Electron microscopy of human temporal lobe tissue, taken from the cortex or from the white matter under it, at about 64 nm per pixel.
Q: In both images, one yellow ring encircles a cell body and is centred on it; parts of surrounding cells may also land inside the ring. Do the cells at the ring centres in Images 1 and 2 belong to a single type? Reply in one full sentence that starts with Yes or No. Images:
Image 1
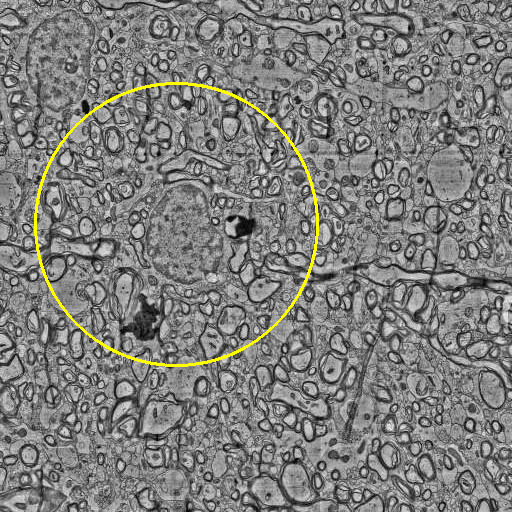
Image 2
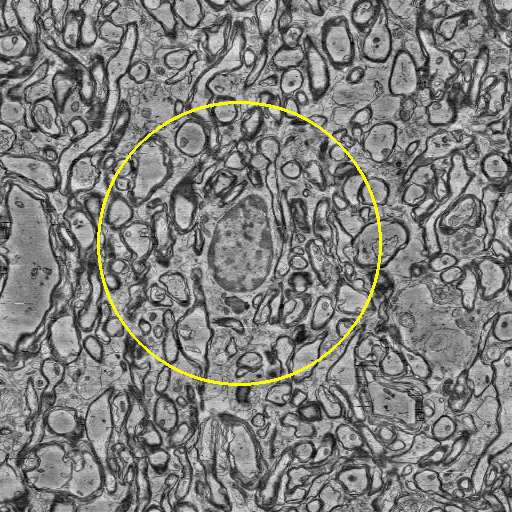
No, the cells at the ring centres in Images 1 and 2 are of two types.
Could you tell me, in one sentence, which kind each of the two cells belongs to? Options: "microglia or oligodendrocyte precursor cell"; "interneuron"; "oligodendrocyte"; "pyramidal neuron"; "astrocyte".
At the centre of the first ring sits an oligodendrocyte, and at the centre of the second sits a microglial cell or oligodendrocyte precursor cell.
